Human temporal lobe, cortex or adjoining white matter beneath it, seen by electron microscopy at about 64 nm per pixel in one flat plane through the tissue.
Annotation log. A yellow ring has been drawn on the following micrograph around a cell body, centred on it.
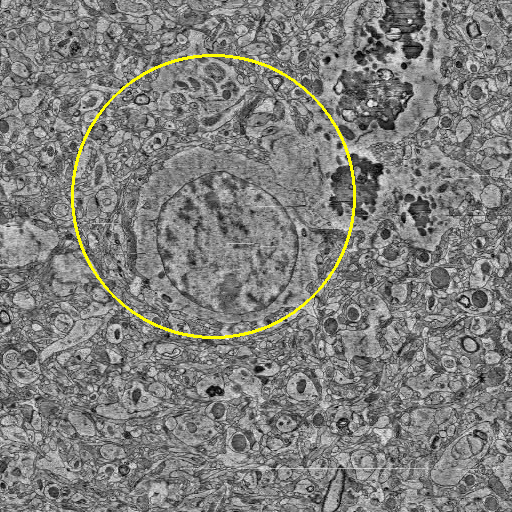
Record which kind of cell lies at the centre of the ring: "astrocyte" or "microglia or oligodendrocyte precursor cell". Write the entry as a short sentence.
The cell the ring is centred on is an astrocyte.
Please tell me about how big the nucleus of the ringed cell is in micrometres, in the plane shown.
About 9 micrometres across in this plane, for the nucleus.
